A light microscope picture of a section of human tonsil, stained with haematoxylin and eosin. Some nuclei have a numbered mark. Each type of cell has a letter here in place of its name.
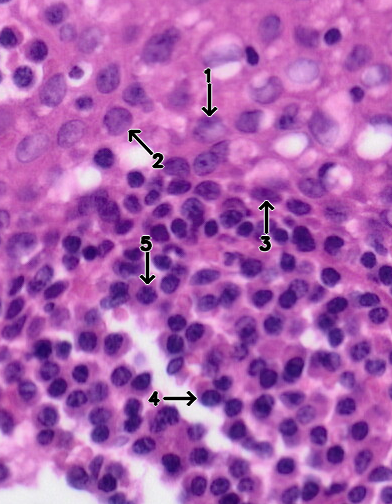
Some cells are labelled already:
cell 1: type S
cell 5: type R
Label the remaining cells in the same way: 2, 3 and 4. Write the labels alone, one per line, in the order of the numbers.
type S
type S
type R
